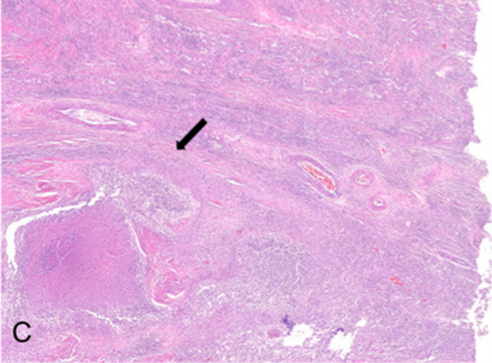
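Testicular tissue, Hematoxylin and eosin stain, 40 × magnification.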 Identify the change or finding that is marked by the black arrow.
Fibrosis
